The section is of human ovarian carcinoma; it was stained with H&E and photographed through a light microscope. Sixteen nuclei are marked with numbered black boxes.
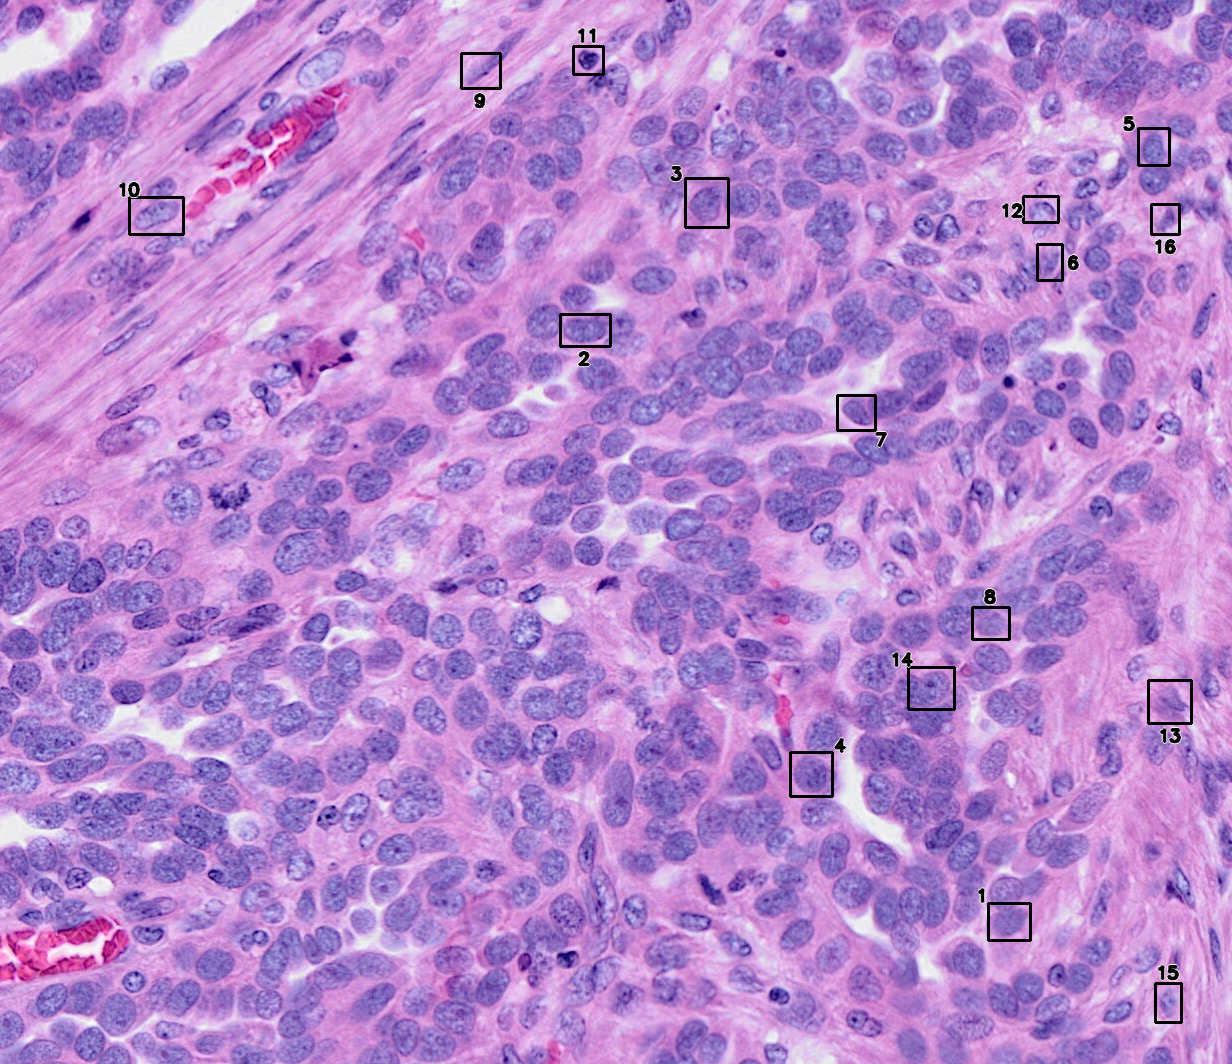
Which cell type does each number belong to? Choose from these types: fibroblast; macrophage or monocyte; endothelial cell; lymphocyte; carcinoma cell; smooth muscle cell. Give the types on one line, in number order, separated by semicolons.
carcinoma cell; carcinoma cell; carcinoma cell; carcinoma cell; carcinoma cell; fibroblast; carcinoma cell; carcinoma cell; fibroblast; endothelial cell; lymphocyte; fibroblast; fibroblast; carcinoma cell; fibroblast; fibroblast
